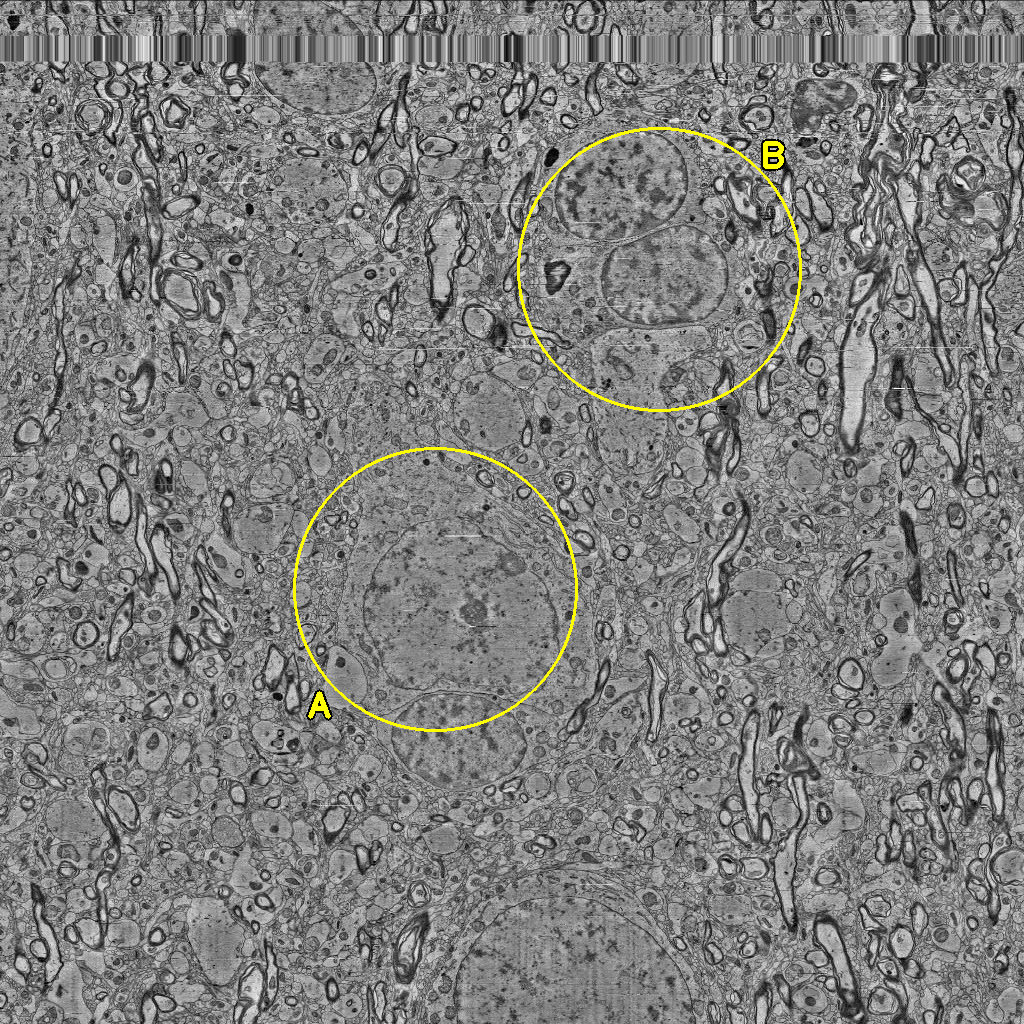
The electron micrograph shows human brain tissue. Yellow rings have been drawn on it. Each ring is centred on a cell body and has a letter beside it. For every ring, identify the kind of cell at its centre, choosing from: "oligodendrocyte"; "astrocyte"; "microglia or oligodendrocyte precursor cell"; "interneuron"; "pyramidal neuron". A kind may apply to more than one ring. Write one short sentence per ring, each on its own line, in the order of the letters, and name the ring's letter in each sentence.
Ring A is centred on an interneuron.
Ring B is centred on an oligodendrocyte.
